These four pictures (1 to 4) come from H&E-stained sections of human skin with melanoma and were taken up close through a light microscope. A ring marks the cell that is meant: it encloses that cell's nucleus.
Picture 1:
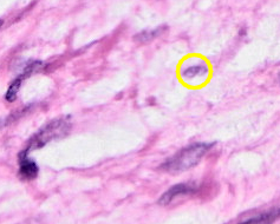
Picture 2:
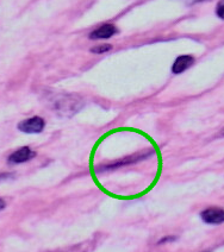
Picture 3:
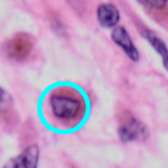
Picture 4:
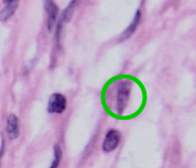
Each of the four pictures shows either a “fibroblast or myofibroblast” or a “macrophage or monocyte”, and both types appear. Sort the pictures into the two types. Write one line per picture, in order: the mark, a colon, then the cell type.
1: fibroblast or myofibroblast
2: fibroblast or myofibroblast
3: macrophage or monocyte
4: fibroblast or myofibroblast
